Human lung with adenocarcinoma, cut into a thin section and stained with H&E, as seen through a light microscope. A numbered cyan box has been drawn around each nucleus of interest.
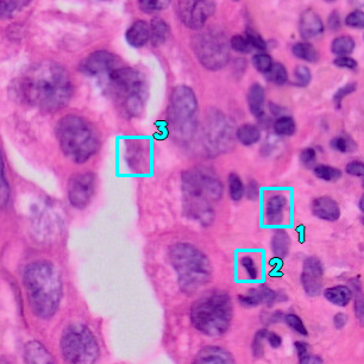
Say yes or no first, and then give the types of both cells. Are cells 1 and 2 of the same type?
Yes, both cells, 1 and 2, are lymphocytes.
